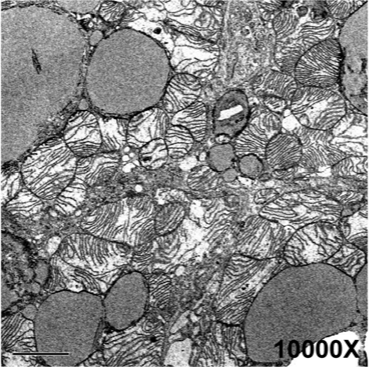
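This electron micrograph shows brown adipocyte cytoplasm densely filled with mitochondria. The mitochondria are tightly packed against one another and many are irregular or elongated in outline rather than neatly round. Their interiors are filled with stacks of parallel cristae. Large smooth grey lipid droplets of varying size sit among them, and little clear cytoplasm is left between the organelles.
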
